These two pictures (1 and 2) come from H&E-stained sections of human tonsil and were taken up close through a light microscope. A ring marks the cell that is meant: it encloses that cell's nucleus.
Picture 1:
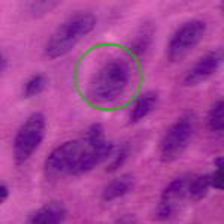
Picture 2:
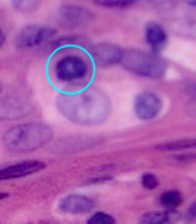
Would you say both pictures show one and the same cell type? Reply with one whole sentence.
No, the types are not the same, since picture 1 shows a squamous epithelial cell and picture 2 a plasma cell.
